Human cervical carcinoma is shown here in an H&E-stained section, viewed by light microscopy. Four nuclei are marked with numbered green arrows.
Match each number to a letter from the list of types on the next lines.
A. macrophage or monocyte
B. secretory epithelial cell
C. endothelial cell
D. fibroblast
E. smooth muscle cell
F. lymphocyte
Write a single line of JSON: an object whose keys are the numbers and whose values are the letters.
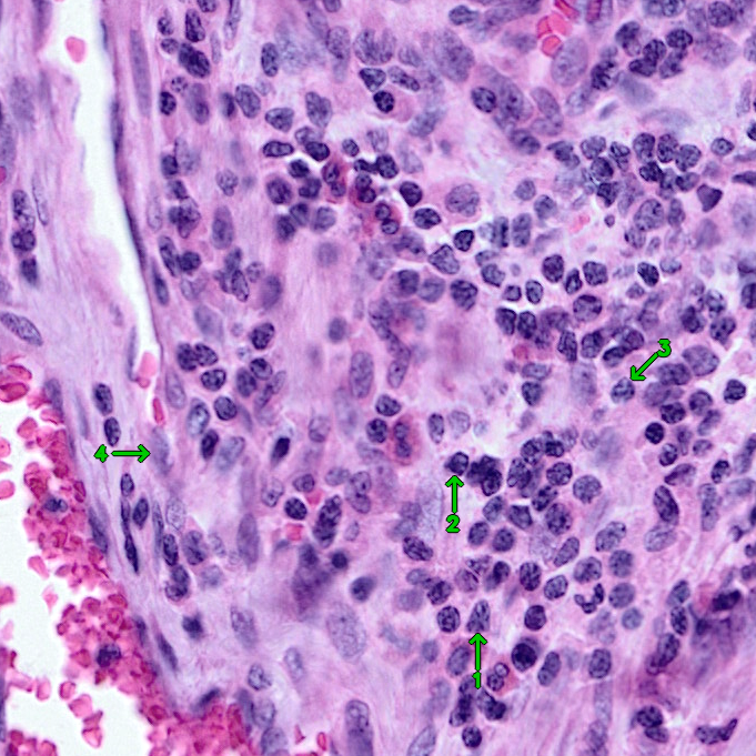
{"1": "F", "2": "F", "3": "F", "4": "C"}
